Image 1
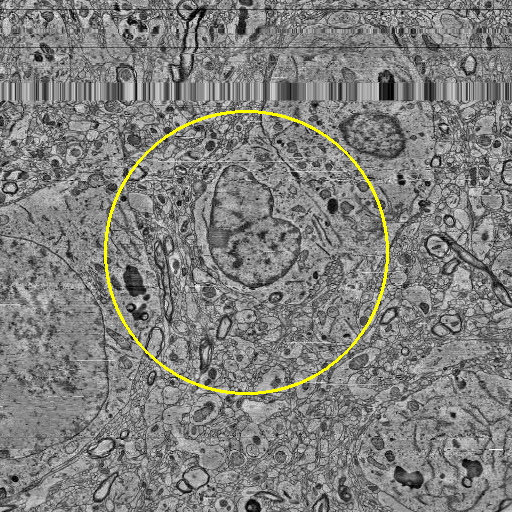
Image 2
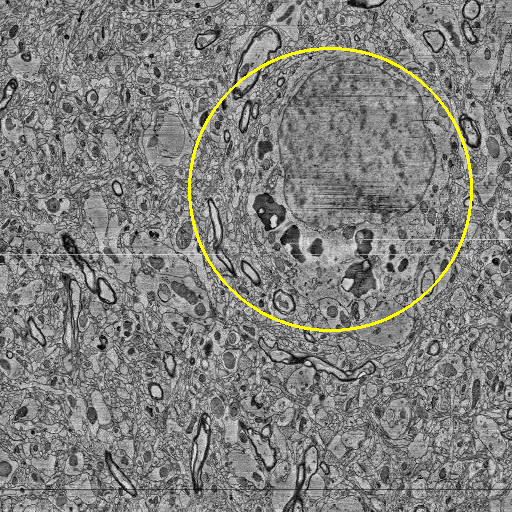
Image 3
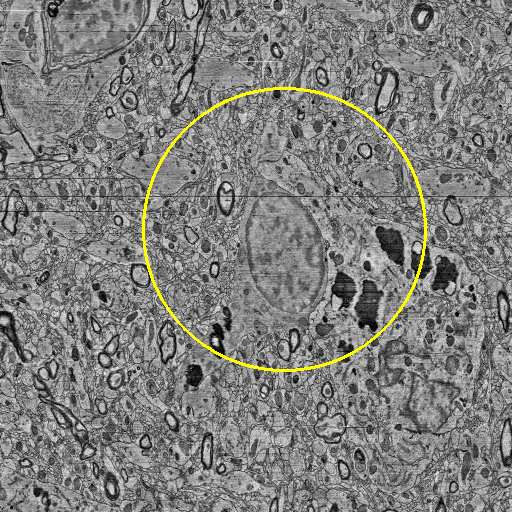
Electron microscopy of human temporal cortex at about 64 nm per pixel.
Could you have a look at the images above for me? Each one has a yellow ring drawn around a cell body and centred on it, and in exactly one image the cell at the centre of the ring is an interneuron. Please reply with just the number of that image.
2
